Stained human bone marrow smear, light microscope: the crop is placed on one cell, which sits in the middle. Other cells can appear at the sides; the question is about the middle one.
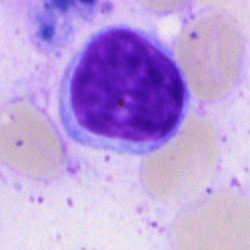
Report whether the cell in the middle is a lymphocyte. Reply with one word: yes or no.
yes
